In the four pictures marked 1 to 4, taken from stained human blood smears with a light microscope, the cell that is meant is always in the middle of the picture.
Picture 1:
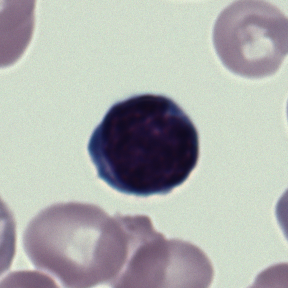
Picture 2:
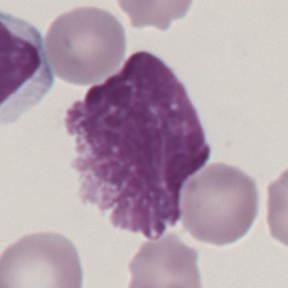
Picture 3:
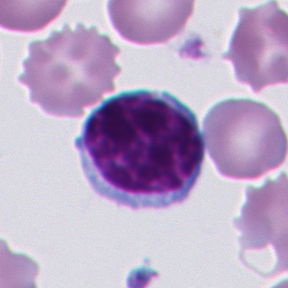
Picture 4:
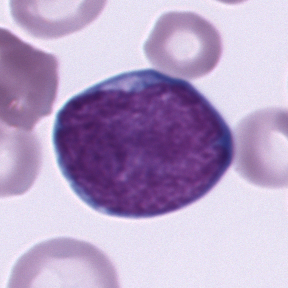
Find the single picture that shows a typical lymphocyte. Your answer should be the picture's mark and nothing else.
3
